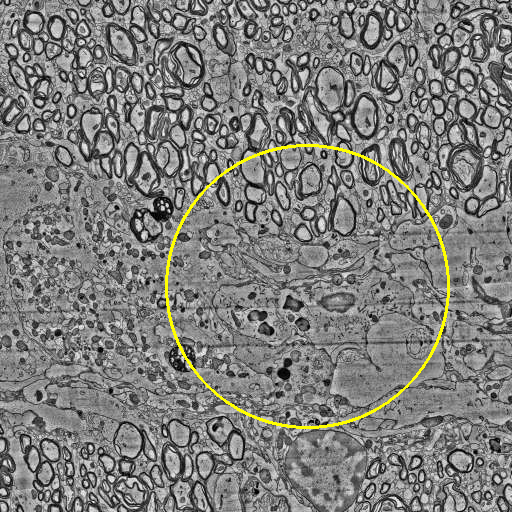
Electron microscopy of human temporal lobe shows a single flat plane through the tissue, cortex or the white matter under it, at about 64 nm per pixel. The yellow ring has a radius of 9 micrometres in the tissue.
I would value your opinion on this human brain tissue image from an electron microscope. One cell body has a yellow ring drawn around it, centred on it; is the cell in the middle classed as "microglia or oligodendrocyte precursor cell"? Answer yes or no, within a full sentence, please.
Yes, I would class the cell in the middle of the ring as that kind.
